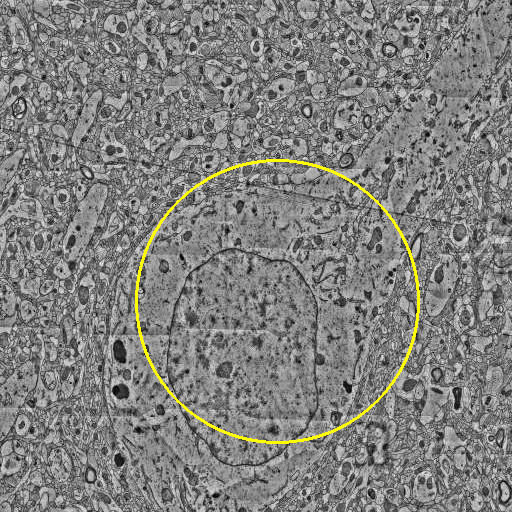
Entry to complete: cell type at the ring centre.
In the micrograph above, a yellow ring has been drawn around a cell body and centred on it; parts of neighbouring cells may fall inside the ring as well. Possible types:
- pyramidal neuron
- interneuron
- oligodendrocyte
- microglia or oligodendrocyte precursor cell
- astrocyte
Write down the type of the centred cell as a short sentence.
The ring is centred on a pyramidal neuron.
